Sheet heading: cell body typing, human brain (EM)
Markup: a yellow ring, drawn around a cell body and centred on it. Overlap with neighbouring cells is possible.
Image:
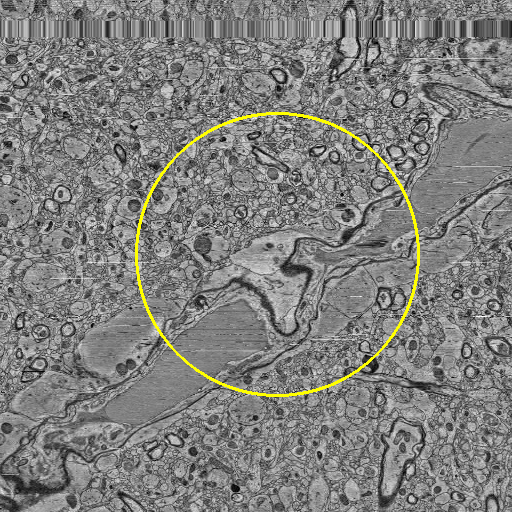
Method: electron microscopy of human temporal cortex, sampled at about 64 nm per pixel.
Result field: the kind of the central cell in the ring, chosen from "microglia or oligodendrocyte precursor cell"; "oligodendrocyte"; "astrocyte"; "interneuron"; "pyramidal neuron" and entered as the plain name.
microglia or oligodendrocyte precursor cell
